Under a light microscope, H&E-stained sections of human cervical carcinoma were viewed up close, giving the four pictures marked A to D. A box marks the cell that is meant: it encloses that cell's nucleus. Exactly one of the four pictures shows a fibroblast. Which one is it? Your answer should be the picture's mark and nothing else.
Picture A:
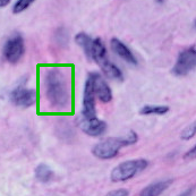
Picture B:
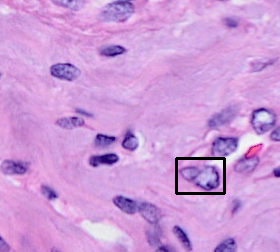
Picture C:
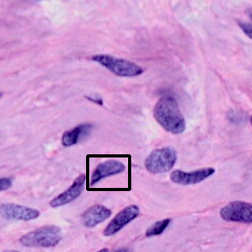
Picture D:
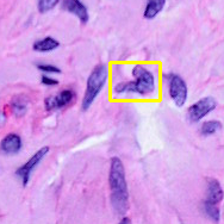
C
